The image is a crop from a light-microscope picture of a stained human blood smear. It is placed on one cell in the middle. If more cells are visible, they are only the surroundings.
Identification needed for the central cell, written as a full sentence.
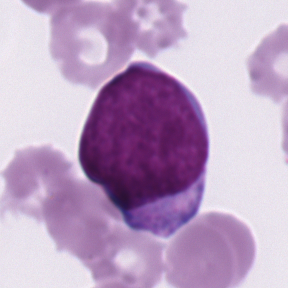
The cell at the middle of the frame should be recorded as a myeloblast.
